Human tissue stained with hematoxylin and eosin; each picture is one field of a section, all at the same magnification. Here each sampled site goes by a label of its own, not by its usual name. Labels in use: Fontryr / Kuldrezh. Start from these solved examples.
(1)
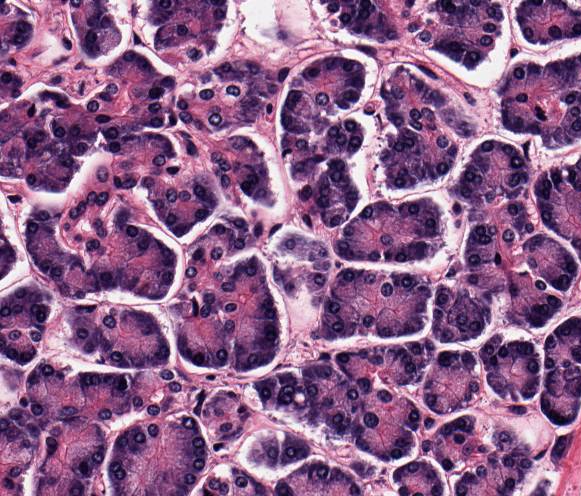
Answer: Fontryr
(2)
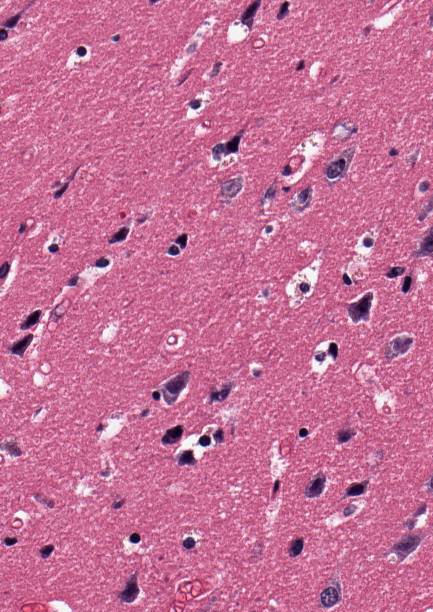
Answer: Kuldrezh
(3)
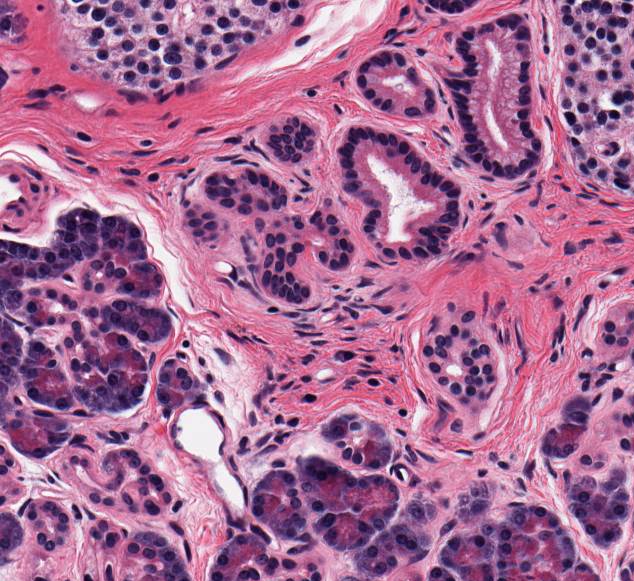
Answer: Fontryr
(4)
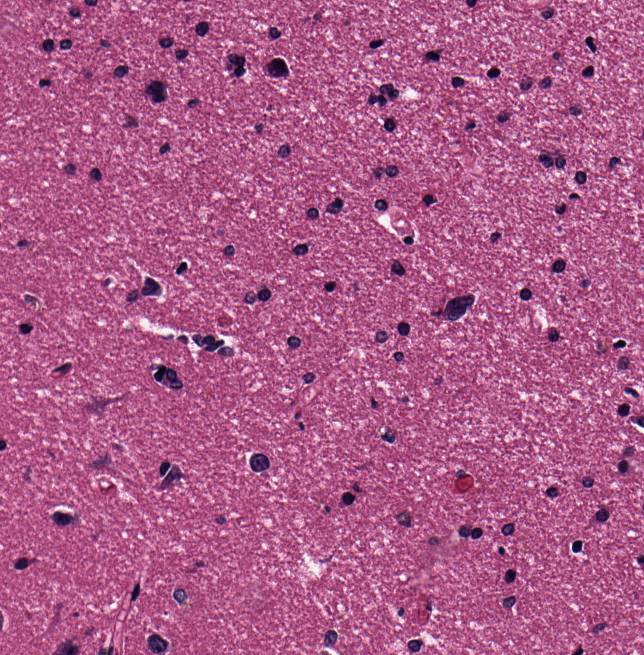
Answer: Kuldrezh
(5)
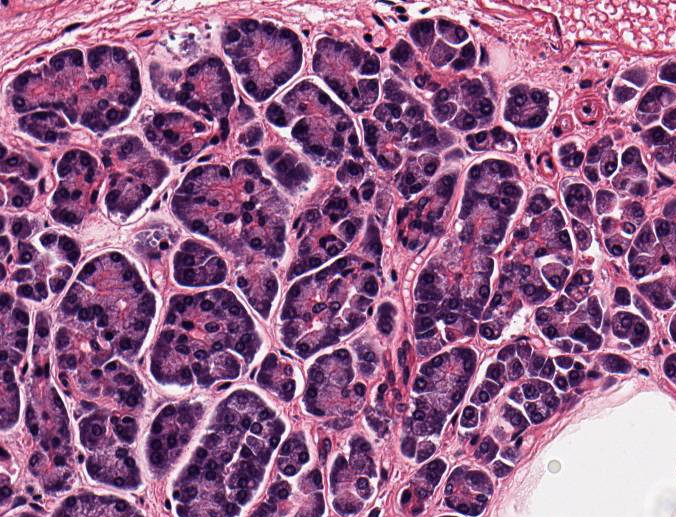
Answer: Fontryr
